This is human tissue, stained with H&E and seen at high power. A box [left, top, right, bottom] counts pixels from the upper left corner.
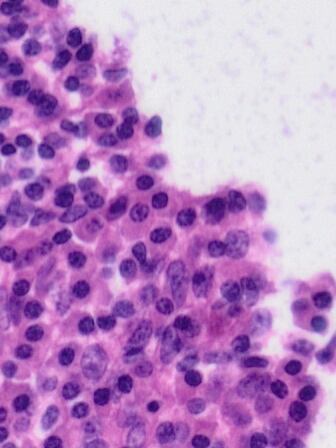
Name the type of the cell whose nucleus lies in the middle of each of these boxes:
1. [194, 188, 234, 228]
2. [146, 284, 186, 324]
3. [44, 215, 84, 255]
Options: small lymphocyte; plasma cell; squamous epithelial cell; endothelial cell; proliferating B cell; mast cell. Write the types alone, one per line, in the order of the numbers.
squamous epithelial cell
plasma cell
plasma cell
